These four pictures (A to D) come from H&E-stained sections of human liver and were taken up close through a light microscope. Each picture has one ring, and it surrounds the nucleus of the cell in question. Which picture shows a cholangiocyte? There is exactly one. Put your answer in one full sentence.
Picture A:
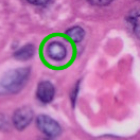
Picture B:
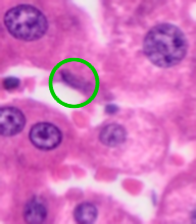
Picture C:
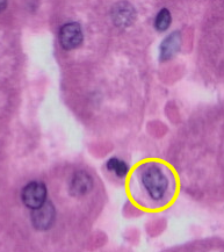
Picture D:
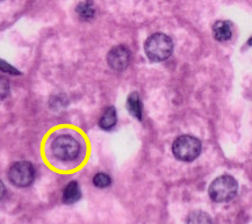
The picture with the cholangiocyte is A.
